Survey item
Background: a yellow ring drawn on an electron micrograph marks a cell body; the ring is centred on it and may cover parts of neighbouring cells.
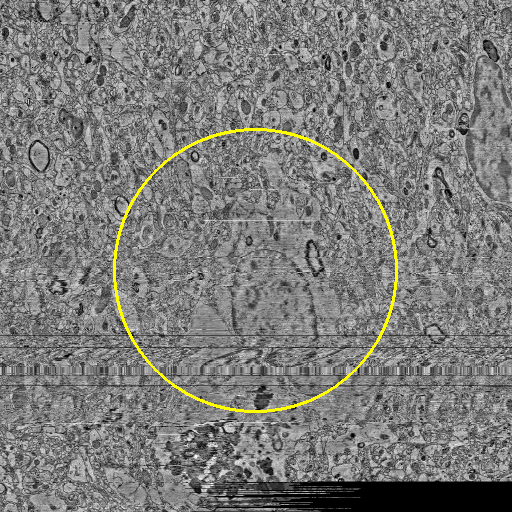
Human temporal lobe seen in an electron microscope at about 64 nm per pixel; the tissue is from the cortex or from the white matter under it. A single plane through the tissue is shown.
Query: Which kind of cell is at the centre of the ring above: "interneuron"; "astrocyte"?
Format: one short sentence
The cell in the middle of the ring is an astrocyte.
